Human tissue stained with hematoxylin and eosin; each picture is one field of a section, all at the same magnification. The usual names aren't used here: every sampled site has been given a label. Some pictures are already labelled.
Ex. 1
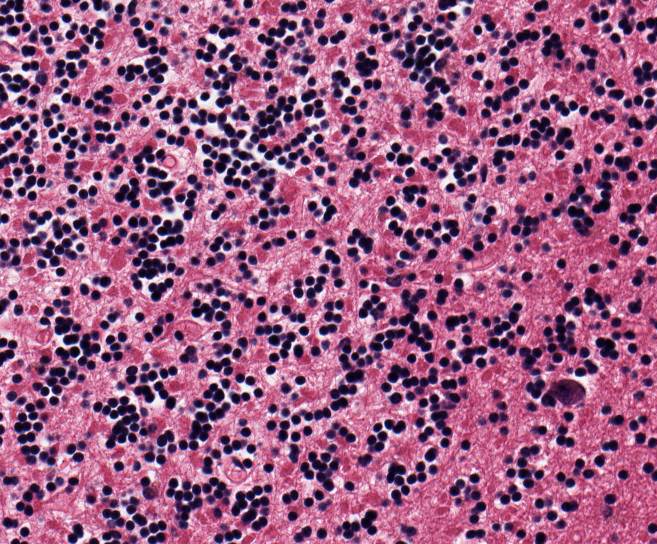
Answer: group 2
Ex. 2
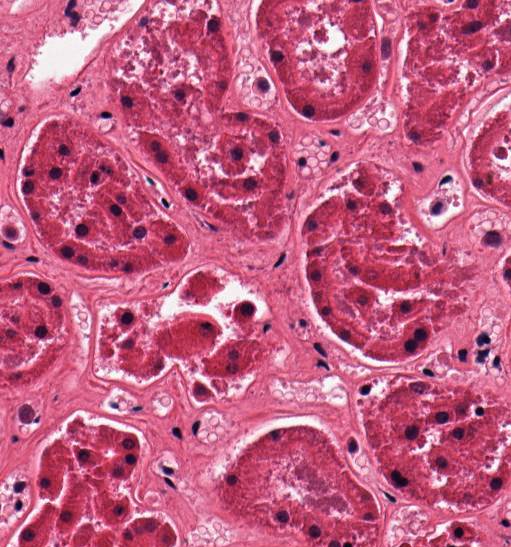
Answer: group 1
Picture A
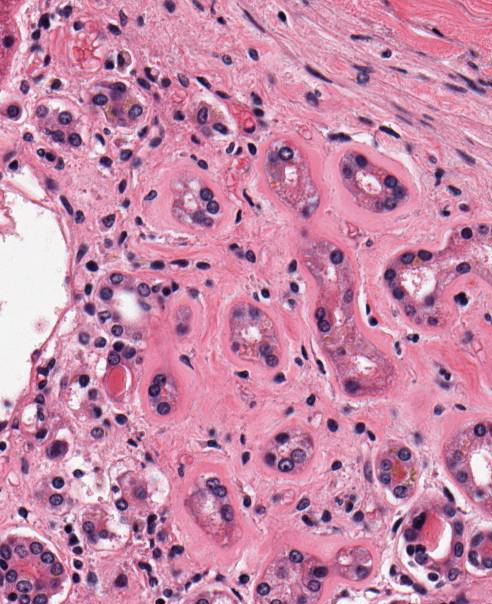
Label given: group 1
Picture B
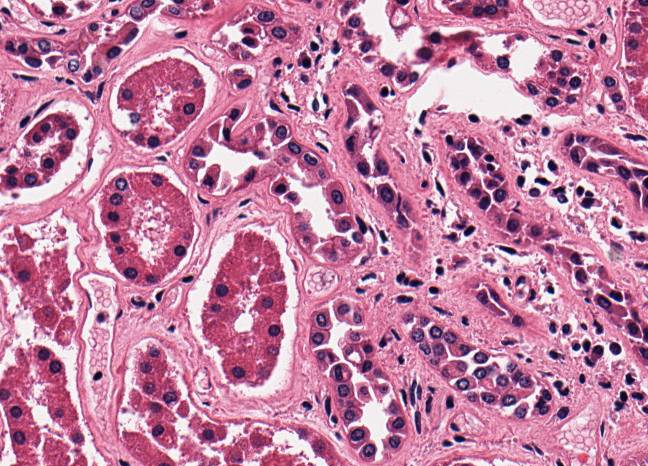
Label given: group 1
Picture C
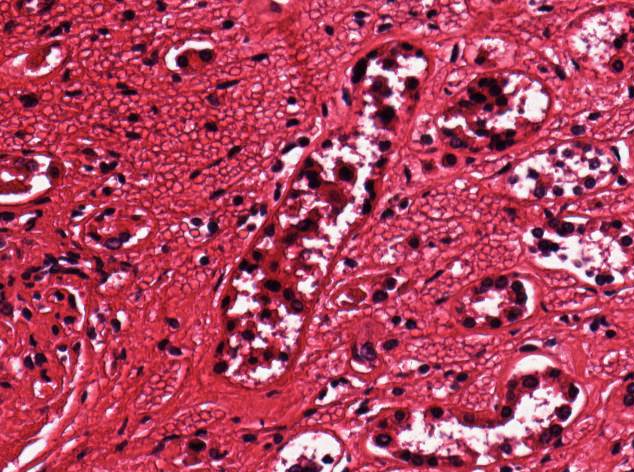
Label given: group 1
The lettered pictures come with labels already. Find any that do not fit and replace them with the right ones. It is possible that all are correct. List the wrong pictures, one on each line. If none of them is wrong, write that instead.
All labels are correct.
